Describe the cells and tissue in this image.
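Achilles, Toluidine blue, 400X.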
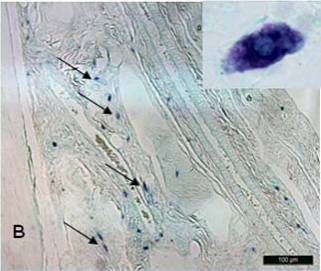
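A longitudinal section of tendon with scattered mast cells lying between the fibre bundles. Pale blue-green collagen fascicles run in long, roughly parallel bands diagonally across the field. In the looser tissue between the bundles lie several small oval cells stained a deep purple, much darker than everything around them. An enlarged inset shows one of these cells. It is rounded to oval, and its cytoplasm is packed with coarse, dark purple granules.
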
